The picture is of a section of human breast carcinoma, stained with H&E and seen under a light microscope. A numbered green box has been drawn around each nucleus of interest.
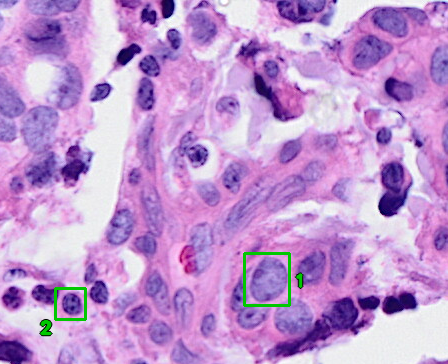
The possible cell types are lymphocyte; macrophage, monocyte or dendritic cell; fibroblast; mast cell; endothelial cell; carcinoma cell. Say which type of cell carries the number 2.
mast cell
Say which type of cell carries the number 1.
carcinoma cell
